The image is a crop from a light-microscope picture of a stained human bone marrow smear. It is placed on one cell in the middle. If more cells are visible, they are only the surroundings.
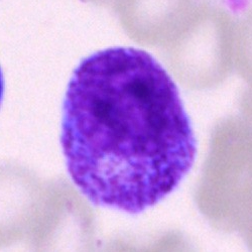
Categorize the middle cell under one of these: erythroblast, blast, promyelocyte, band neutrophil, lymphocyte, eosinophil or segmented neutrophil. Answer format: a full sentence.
The crop shows a promyelocyte in its centre.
